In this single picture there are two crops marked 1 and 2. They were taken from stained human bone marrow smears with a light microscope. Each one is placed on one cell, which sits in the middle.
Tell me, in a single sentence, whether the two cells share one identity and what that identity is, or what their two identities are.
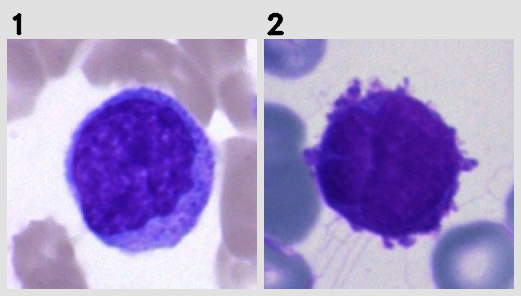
Yes, they do, both crops show blasts.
